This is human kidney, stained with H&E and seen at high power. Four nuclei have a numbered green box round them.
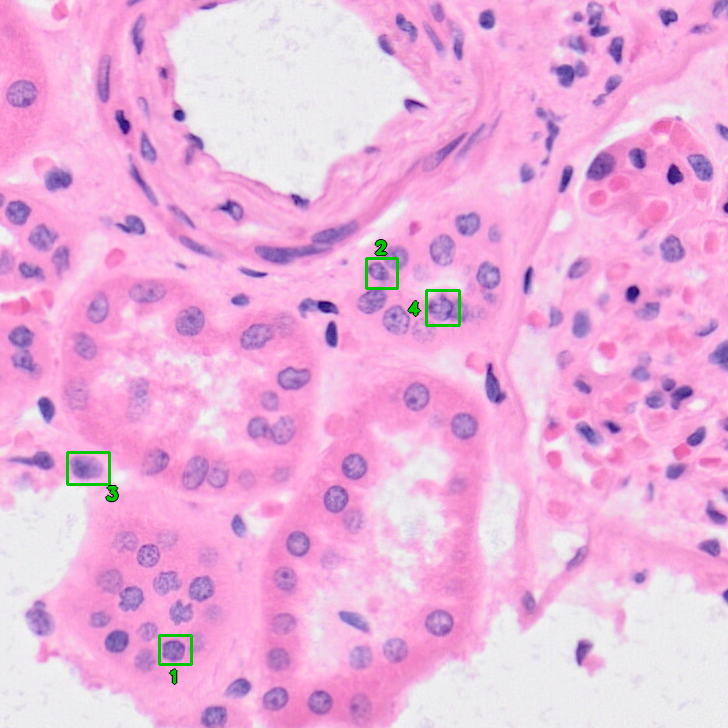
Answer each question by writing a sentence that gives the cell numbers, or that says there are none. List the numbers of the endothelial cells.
Only nucleus 3 belongs to an endothelial cell; the other numbered nuclei do not.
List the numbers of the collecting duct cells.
So, the cells with numbers 2 and 4 are collecting duct cells.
